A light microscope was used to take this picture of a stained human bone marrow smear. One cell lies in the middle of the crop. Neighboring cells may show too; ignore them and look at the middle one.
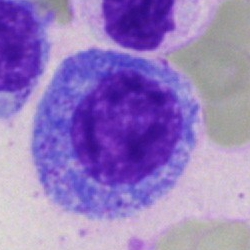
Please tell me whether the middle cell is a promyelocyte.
yes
